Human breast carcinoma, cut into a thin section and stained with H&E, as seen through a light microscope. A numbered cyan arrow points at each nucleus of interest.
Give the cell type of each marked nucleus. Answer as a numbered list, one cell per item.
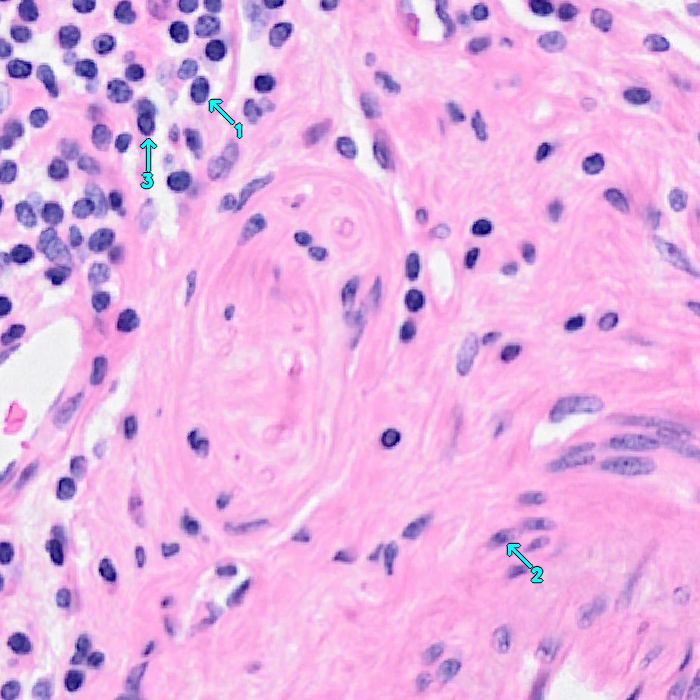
1. lymphocyte
2. endothelial cell
3. lymphocyte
